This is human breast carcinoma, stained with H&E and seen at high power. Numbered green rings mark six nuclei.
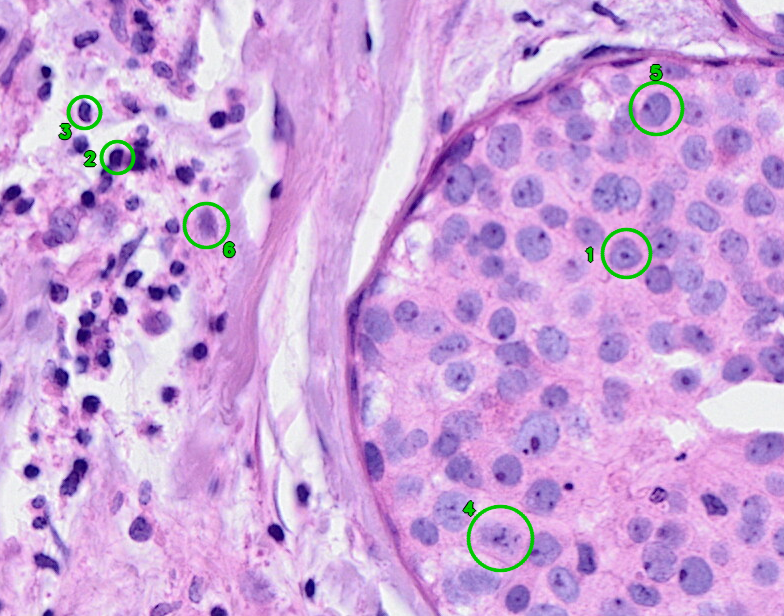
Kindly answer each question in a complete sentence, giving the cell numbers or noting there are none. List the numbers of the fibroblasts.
Among the numbered cells, the one that is a fibroblast is cell 6 alone.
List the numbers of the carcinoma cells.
The cells 1, 4 and 5 in this section are carcinoma cells.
